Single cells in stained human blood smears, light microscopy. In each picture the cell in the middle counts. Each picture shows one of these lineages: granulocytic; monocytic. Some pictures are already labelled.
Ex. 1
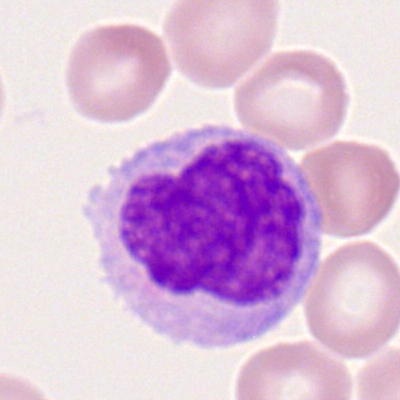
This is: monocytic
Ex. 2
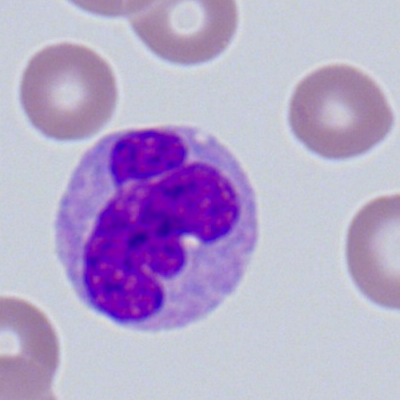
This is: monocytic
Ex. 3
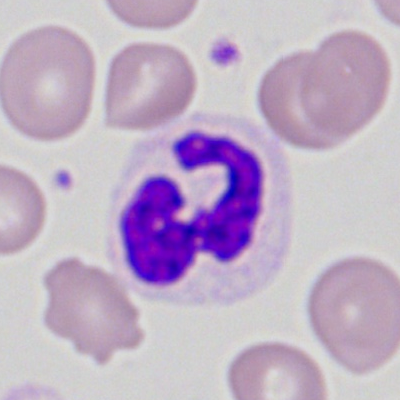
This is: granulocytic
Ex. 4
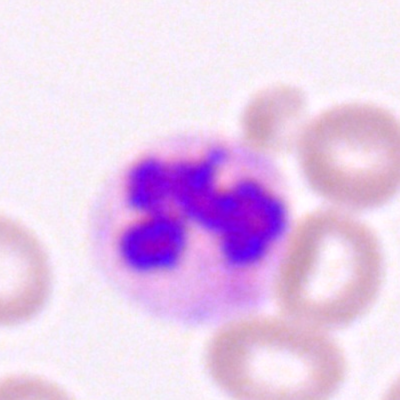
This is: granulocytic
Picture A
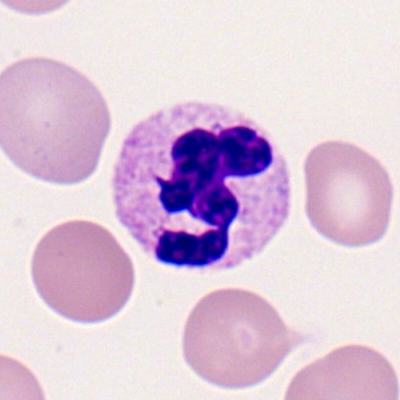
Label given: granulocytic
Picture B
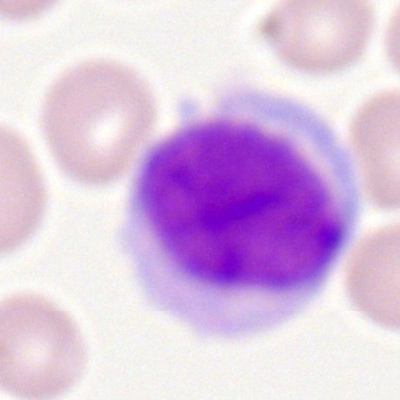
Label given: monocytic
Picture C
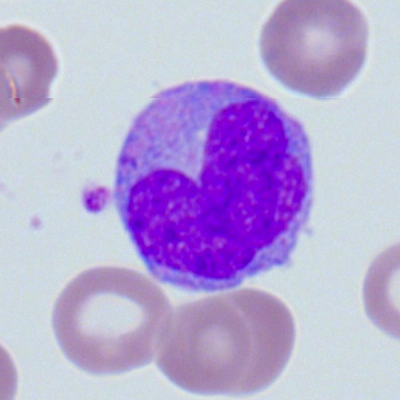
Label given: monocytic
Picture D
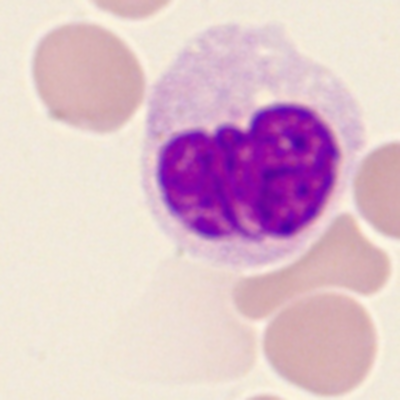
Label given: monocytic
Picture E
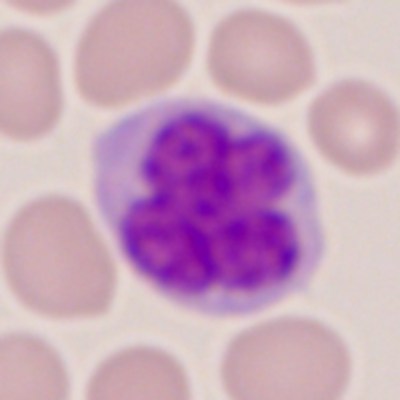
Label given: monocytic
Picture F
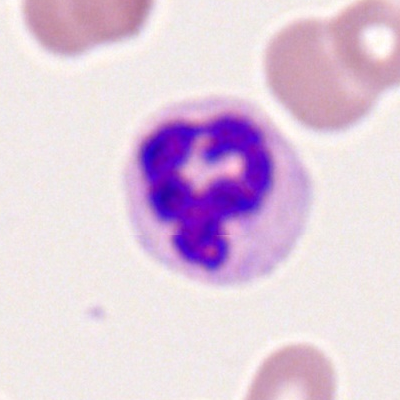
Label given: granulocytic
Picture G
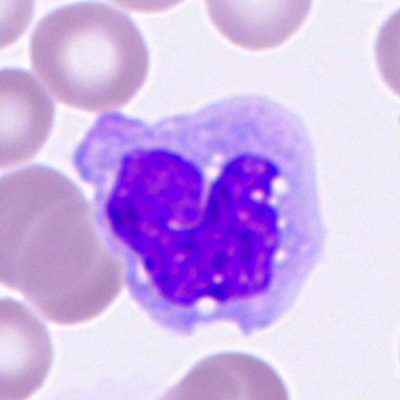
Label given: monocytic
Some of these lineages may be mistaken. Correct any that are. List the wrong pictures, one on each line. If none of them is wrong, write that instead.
All correct.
